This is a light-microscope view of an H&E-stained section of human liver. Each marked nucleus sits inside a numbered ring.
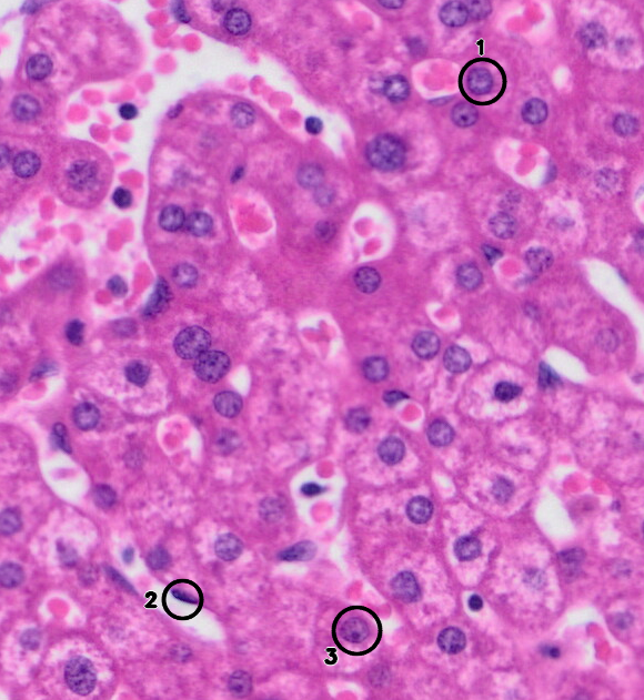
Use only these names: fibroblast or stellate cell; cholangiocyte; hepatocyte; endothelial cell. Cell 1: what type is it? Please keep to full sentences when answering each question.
The cell with the number 1 is a hepatocyte.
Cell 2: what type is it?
The nucleus labeled 2 belongs to an endothelial cell.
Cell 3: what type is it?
To a hepatocyte belongs the nucleus marked 3.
